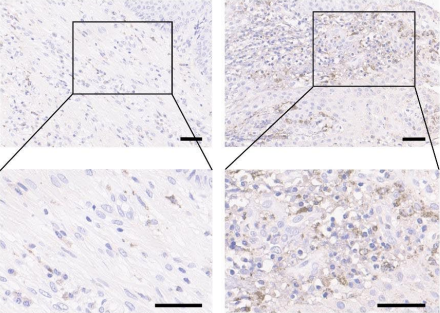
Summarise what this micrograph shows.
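On the left only a few elongated nuclei and rare faint brown cells lie among pale fibres. On the right the tissue is densely cellular, with many rounded and irregular cells whose cytoplasm is stained brown around blue nuclei.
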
